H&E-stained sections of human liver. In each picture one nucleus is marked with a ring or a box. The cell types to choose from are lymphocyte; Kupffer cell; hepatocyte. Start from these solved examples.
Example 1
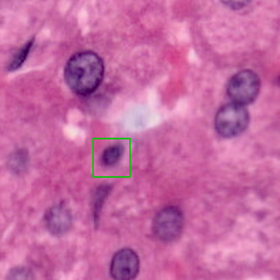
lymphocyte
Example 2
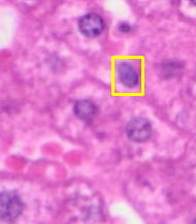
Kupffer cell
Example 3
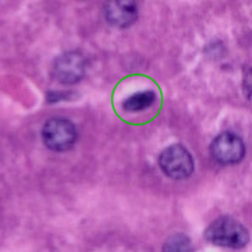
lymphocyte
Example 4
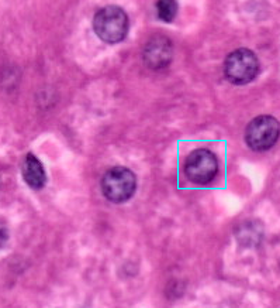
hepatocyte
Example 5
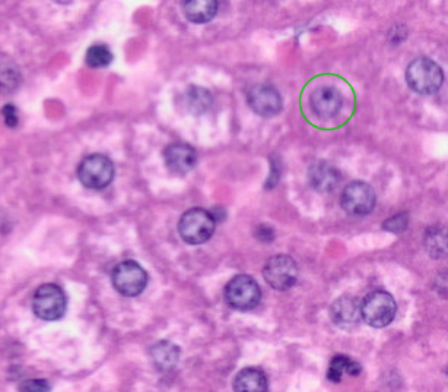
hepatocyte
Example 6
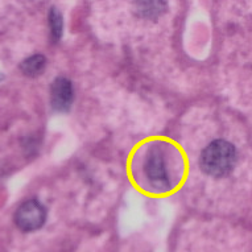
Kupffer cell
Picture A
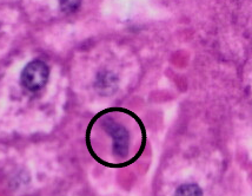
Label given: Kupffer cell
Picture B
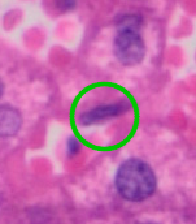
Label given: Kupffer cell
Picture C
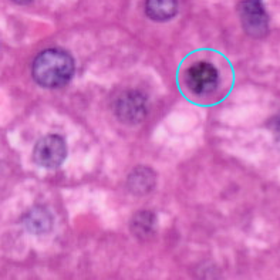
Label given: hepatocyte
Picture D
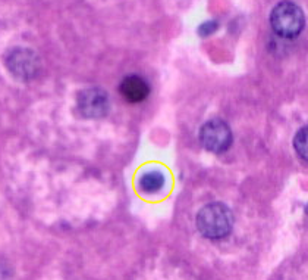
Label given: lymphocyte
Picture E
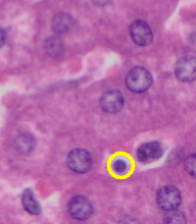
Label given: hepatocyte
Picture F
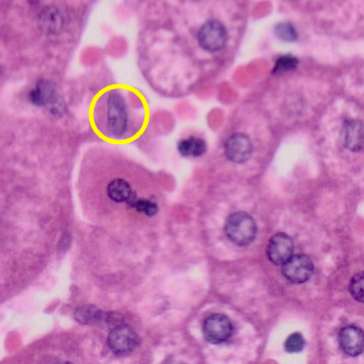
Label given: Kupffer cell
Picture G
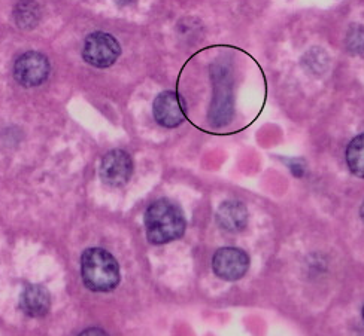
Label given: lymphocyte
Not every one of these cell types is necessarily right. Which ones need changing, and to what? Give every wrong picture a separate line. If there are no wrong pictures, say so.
E: change hepatocyte to lymphocyte
G: change lymphocyte to Kupffer cell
